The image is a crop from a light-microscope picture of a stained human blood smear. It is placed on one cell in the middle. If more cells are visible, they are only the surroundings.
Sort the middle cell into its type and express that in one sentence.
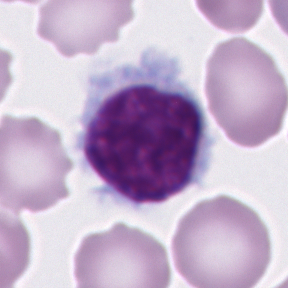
The middle cell in this particular crop is a hairy cell.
